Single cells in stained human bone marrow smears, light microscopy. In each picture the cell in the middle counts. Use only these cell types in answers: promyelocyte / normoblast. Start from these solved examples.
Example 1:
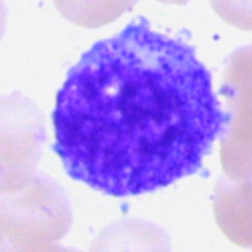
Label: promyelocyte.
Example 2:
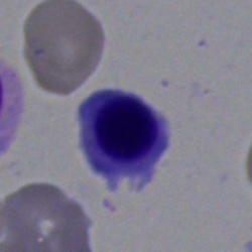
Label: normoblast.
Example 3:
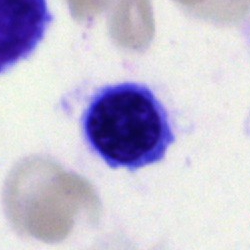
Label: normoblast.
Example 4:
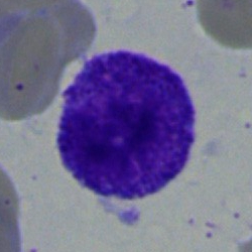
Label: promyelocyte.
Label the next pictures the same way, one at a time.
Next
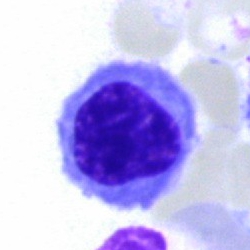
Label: normoblast.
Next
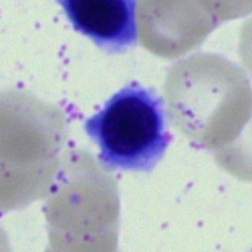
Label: normoblast.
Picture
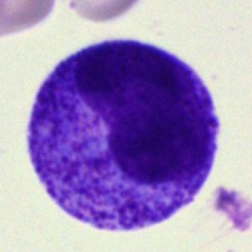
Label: promyelocyte.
